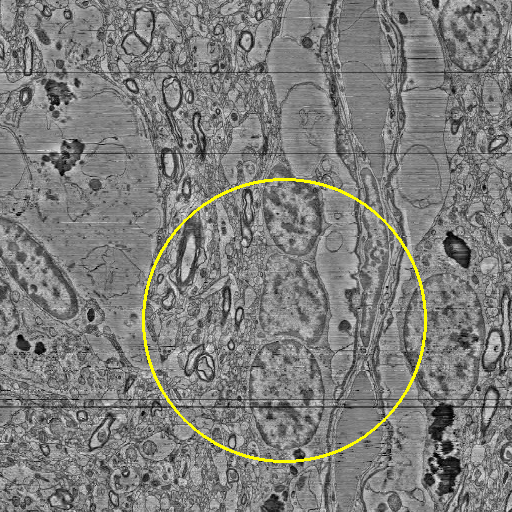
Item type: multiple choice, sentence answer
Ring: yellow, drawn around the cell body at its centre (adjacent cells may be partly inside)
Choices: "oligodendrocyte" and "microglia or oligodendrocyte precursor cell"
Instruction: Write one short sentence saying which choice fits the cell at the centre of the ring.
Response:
This ring is drawn around an oligodendrocyte.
